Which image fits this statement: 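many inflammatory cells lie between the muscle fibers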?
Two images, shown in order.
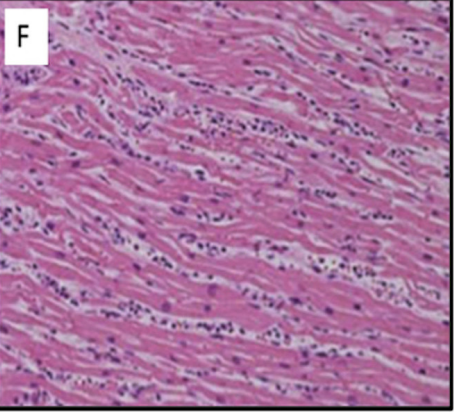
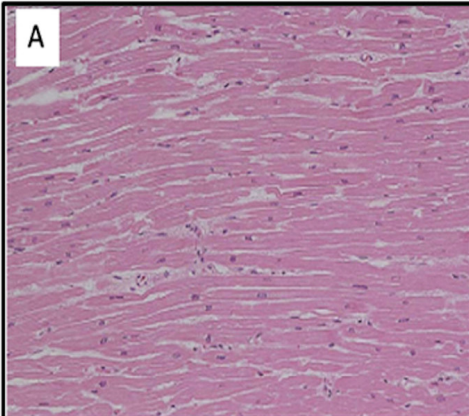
The first image.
